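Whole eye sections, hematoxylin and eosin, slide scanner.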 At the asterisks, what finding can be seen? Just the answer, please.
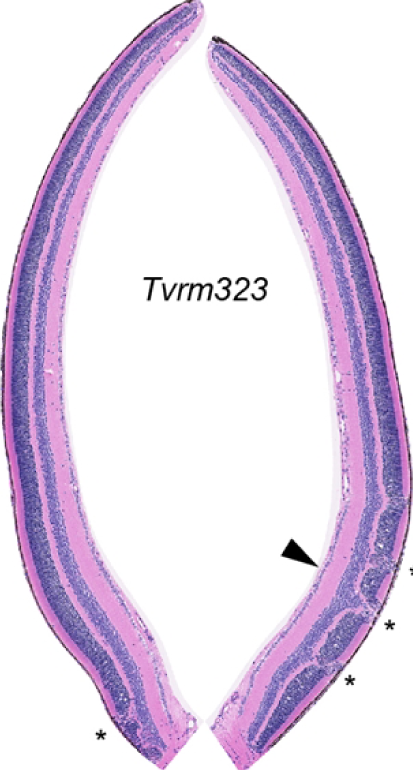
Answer: Dysplastic lesions.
